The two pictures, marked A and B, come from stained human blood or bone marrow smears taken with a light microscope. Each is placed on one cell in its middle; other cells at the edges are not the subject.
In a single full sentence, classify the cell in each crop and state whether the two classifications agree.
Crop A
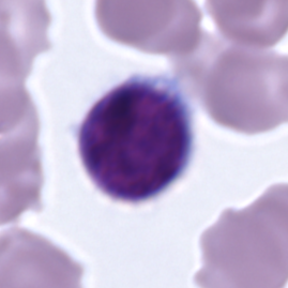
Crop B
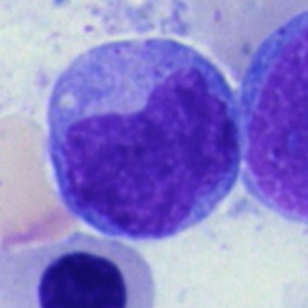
No, within crop A lies a hairy cell, and within crop B lies a monocyte.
